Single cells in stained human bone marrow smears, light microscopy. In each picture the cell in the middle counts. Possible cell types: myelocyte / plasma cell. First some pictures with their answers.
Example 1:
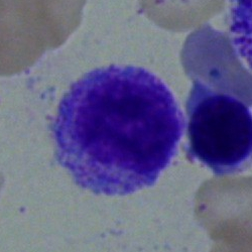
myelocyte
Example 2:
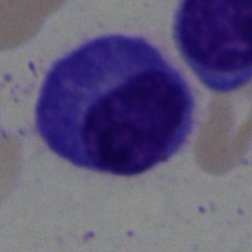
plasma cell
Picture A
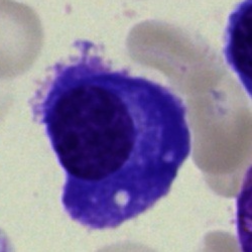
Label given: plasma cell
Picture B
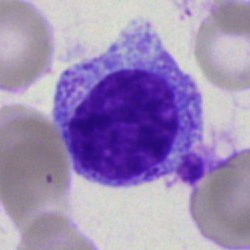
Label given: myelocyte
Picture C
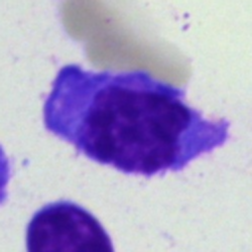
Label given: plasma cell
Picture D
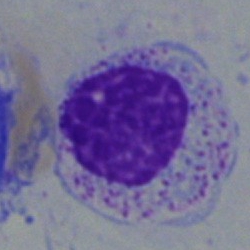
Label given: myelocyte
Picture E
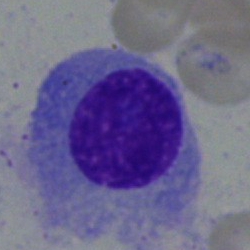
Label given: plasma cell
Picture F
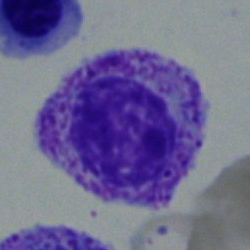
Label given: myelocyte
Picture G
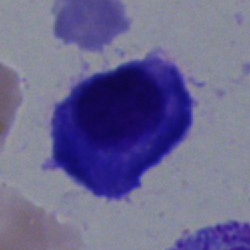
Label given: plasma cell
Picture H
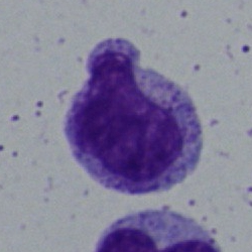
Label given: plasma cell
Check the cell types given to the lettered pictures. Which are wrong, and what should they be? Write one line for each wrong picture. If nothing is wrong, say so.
H: myelocyte, not plasma cell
